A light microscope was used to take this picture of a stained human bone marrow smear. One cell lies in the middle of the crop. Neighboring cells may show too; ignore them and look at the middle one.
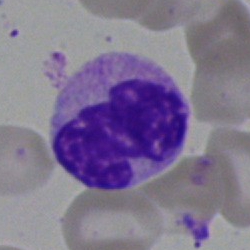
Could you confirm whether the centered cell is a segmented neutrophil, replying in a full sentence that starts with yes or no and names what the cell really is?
Yes, what sits in the centre of the crop is a segmented neutrophil.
